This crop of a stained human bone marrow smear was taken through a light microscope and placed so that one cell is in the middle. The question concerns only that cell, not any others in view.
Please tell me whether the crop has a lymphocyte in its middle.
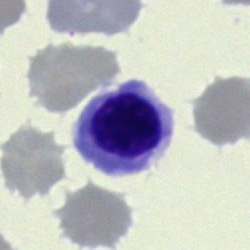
no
